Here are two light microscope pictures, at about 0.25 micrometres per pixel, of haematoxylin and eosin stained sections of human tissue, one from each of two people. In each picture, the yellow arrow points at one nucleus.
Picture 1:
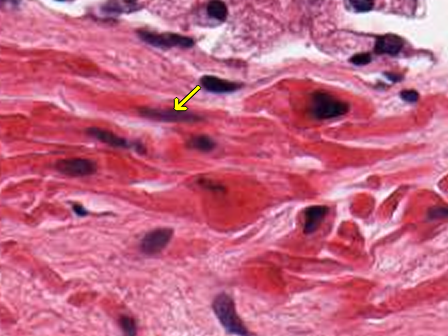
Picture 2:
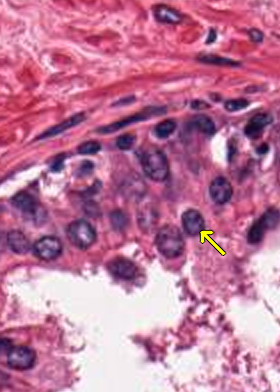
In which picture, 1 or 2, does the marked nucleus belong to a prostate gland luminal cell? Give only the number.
2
